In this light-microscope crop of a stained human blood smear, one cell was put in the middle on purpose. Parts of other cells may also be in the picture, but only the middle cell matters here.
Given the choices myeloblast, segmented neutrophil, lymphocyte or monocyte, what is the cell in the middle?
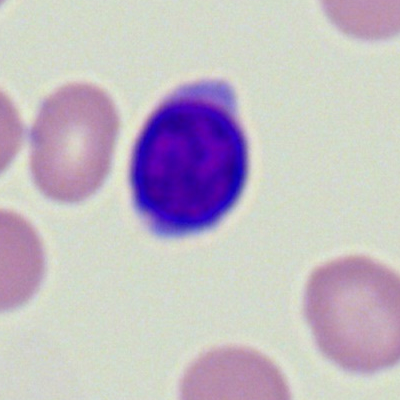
lymphocyte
